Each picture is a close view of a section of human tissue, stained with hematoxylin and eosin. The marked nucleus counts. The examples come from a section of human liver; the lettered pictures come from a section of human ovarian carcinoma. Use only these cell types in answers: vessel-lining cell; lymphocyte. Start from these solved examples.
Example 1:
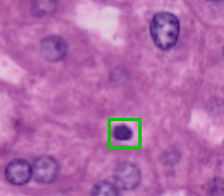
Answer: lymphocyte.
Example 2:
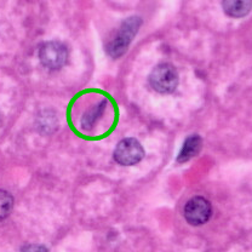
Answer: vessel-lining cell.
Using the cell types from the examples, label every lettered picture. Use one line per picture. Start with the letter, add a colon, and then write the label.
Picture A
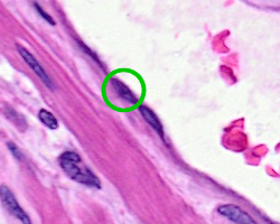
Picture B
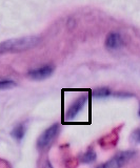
A: vessel-lining cell.
B: vessel-lining cell.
